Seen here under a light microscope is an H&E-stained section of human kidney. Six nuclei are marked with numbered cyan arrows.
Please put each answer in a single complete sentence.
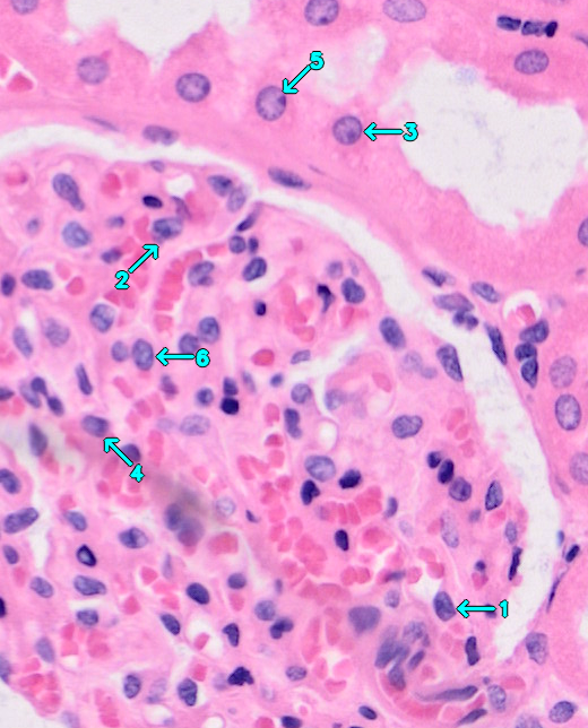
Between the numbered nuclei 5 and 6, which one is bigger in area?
Nucleus 5 is larger, with an area about 1.5 times that of nucleus 6.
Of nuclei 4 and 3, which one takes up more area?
The larger nucleus is 3, at roughly 1.5 times the area of 4.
